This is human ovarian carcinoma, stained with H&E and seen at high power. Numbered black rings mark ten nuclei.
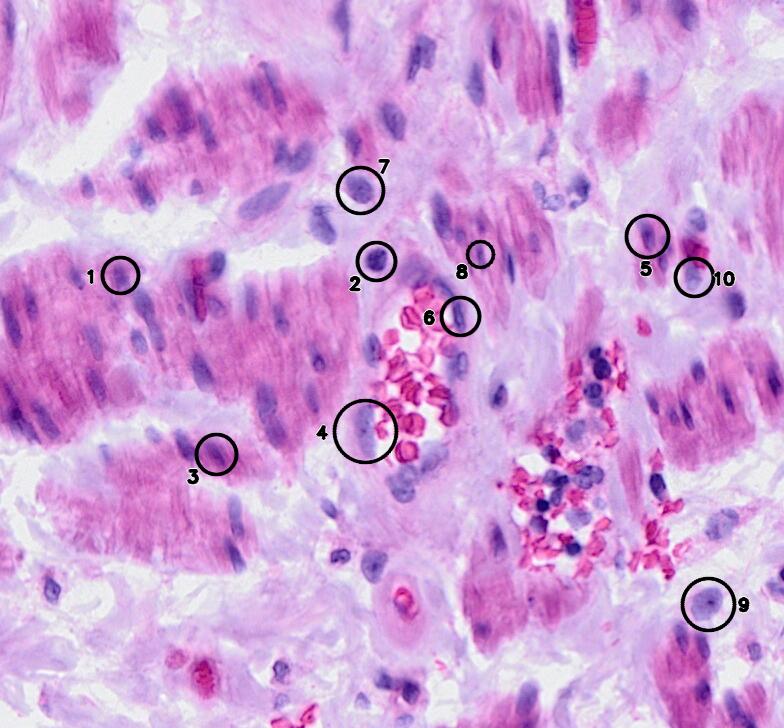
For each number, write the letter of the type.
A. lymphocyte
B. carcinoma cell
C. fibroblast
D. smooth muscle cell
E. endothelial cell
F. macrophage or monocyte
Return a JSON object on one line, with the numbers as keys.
{"1": "D", "2": "A", "3": "D", "4": "E", "5": "D", "6": "E", "7": "C", "8": "D", "9": "C", "10": "E"}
